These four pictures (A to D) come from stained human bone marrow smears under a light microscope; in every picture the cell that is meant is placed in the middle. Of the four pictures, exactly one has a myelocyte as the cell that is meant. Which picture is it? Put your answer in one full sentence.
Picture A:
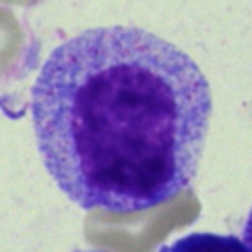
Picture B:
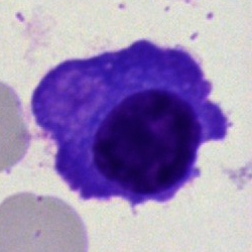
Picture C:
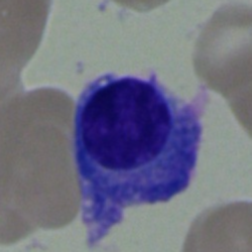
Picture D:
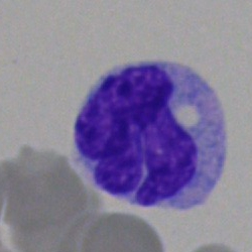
The cell in picture A is the myelocyte.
